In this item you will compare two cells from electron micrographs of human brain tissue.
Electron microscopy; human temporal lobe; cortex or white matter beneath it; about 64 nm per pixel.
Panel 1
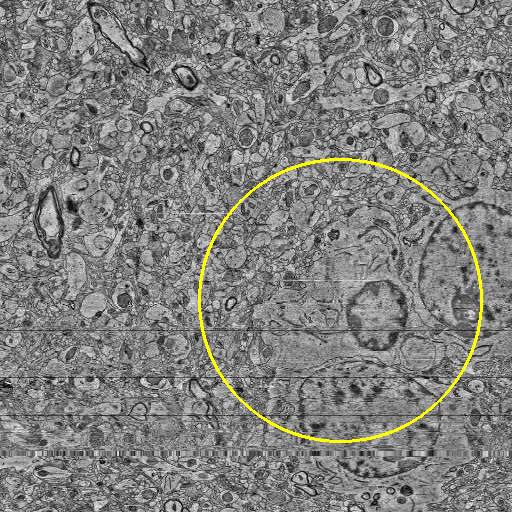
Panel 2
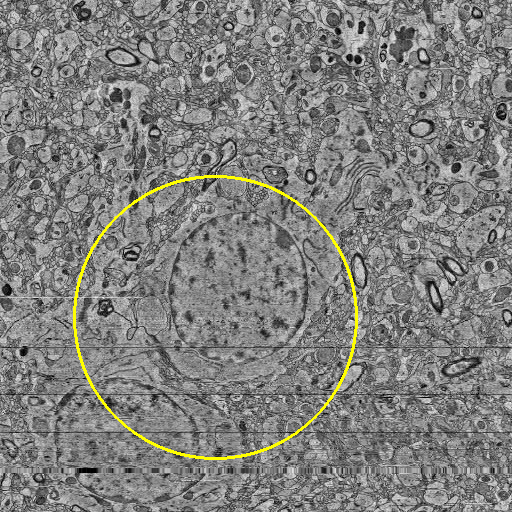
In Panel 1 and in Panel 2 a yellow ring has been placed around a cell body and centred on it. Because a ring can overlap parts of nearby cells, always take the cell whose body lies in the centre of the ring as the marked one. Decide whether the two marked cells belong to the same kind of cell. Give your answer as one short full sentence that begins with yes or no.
Yes, the two marked cells belong to the same kind of cell.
